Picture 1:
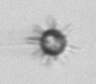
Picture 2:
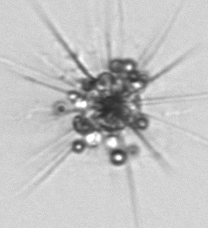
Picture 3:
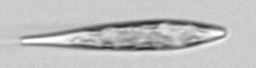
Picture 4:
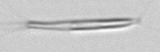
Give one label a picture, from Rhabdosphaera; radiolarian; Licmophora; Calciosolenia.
1. Rhabdosphaera
2. radiolarian
3. Licmophora
4. Calciosolenia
